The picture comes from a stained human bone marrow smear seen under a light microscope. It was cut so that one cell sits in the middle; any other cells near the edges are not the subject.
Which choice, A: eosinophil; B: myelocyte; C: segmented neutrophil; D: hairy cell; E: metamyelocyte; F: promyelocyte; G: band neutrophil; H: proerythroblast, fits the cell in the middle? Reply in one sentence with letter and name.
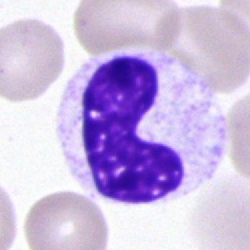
The correct option here is G; the middle cell is a band neutrophil.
